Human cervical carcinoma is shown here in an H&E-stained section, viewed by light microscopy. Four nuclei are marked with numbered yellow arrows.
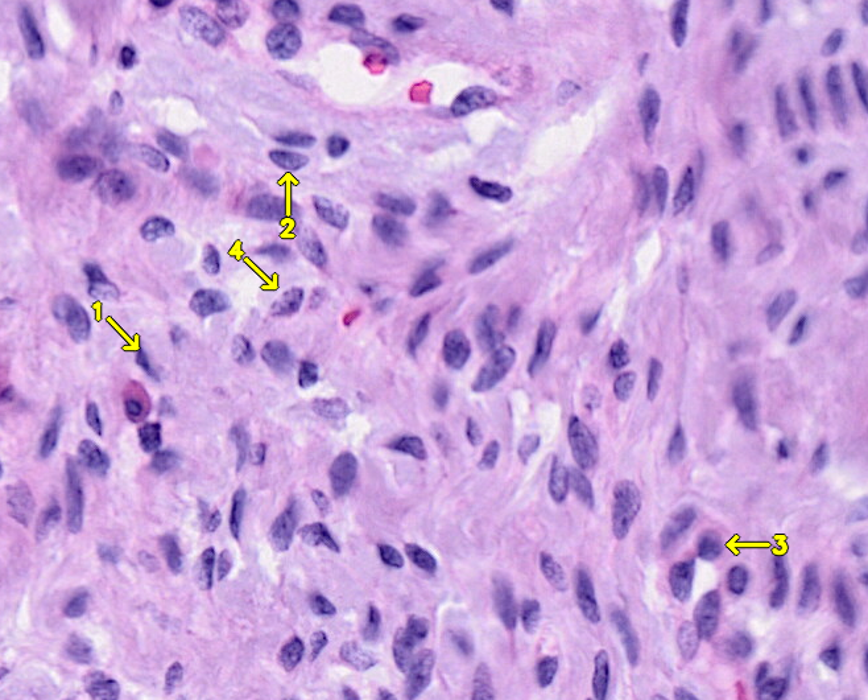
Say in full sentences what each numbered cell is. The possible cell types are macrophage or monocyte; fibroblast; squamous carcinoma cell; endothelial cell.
Cells 1, 2 and 4 are fibroblasts. Cell 3 is an endothelial cell.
